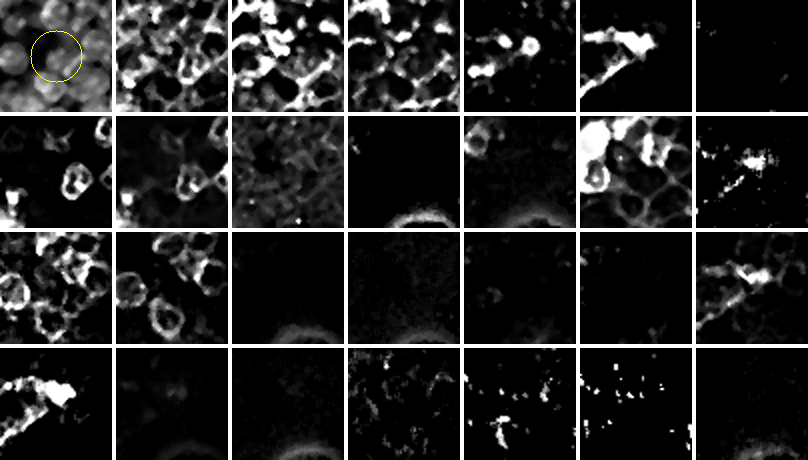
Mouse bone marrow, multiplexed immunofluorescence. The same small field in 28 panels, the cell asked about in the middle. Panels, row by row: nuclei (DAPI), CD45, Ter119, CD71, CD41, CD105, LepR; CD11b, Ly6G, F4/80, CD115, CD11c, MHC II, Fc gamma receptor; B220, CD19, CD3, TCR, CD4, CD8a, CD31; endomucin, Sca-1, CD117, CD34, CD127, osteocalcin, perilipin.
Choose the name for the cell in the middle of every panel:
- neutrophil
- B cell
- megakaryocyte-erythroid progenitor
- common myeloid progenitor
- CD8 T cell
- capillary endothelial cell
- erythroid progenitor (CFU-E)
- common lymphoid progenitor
capillary endothelial cell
